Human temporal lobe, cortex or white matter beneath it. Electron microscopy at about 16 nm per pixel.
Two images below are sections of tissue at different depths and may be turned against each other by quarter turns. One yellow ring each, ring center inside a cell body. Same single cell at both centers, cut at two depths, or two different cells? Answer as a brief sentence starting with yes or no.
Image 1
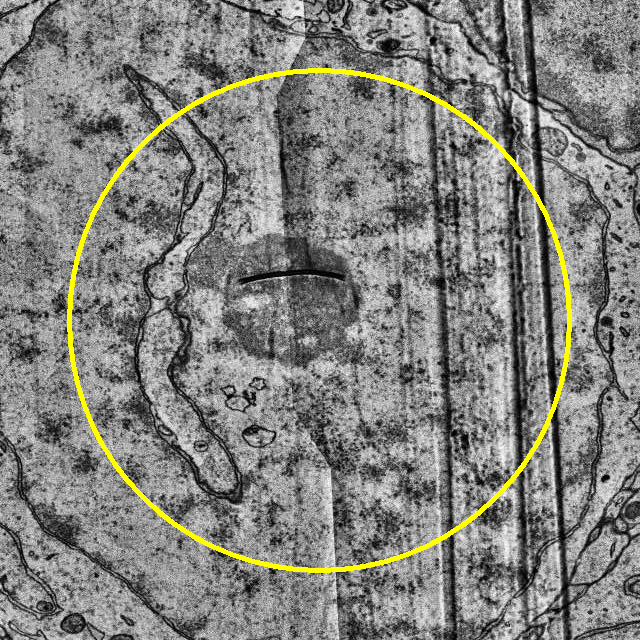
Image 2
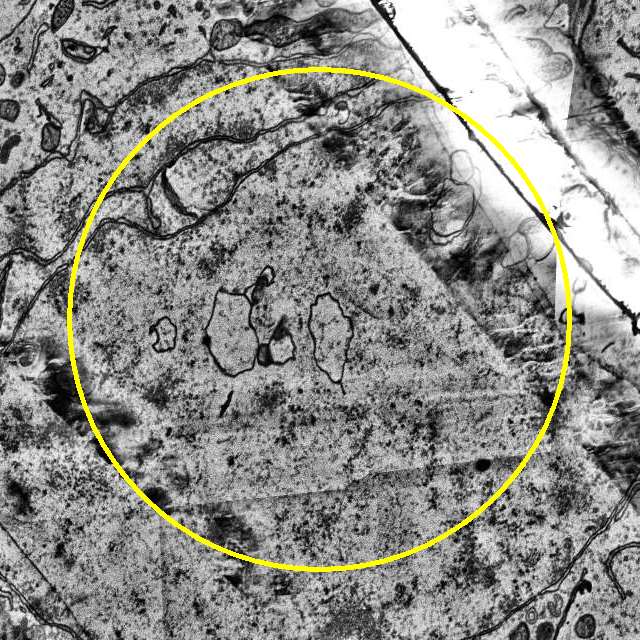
Yes, both yellow rings were placed on the same cell.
